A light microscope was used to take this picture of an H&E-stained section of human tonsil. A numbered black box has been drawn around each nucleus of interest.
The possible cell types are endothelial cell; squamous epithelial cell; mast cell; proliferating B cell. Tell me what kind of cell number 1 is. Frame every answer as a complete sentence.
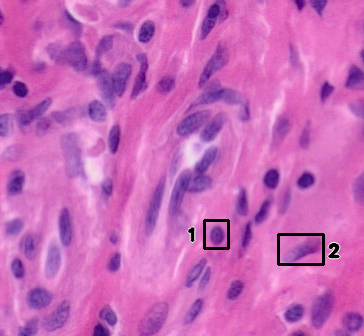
In the tissue shown, cell 1 is a mast cell.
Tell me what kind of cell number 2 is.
The marked nucleus 2 is that of an endothelial cell.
